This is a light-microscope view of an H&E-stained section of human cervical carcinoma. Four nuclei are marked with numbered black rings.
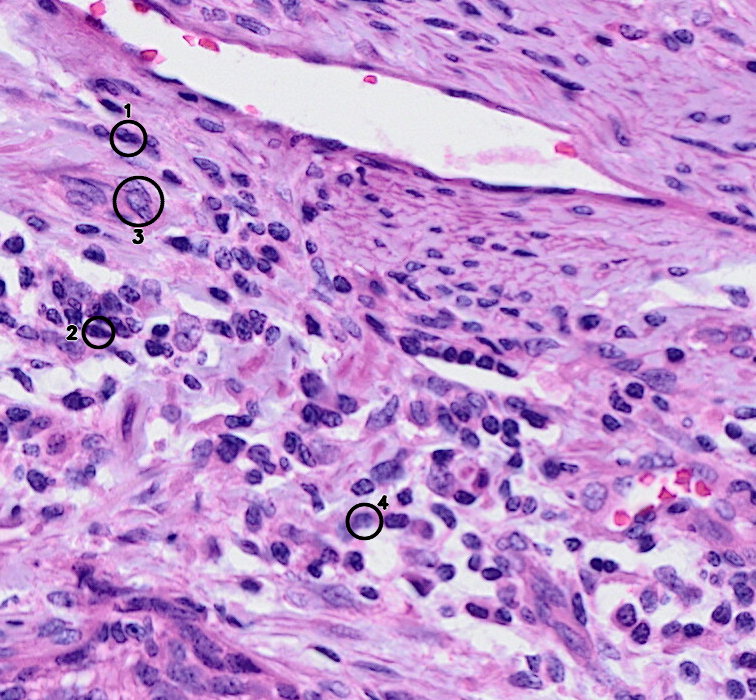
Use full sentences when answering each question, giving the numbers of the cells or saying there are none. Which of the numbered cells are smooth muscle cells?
Not one numbered cell here is one of the smooth muscle cells.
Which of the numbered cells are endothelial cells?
Cell 3 is an endothelial cell, and that holds for no other numbered cell.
